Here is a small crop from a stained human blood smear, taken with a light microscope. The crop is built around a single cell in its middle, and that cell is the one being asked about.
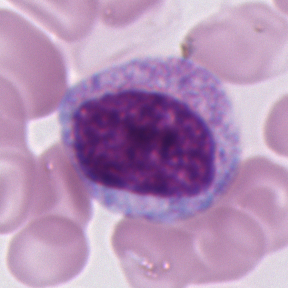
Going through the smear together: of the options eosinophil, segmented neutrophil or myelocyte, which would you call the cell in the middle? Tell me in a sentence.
The central cell in this smear crop is a myelocyte.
